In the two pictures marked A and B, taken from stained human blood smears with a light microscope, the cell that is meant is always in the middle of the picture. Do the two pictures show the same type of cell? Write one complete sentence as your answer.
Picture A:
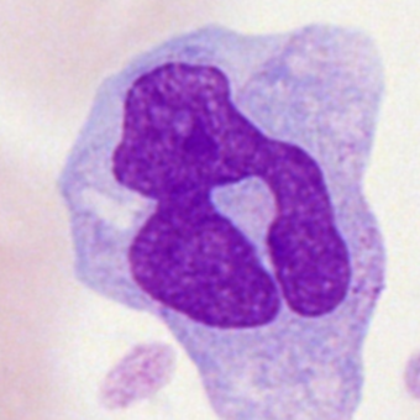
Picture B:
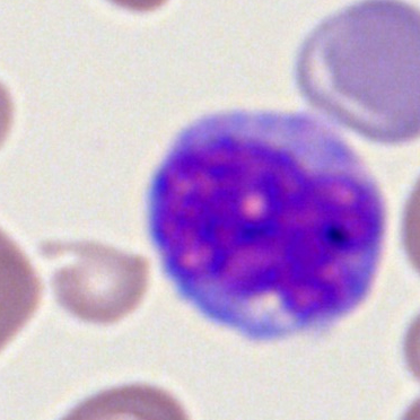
Yes, the two pictures both show monocytes.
